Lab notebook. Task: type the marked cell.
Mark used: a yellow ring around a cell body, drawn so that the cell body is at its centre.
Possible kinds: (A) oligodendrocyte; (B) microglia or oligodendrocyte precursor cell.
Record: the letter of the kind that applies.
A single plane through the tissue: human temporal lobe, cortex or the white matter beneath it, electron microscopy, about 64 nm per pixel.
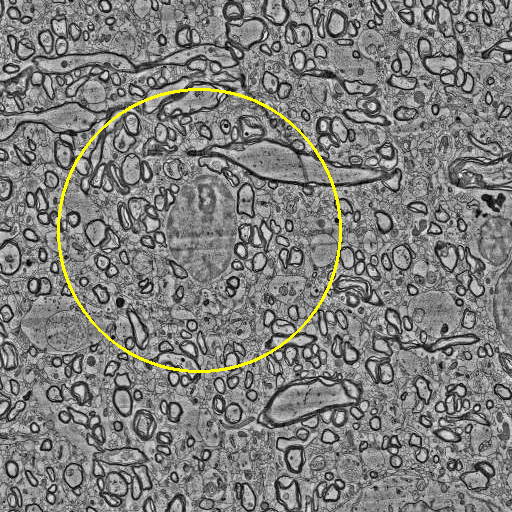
A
